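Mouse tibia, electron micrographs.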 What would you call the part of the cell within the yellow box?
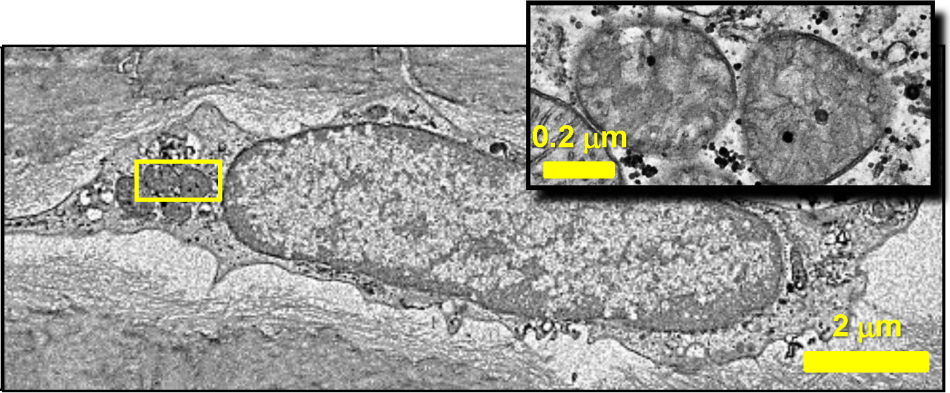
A: Mitochondria.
